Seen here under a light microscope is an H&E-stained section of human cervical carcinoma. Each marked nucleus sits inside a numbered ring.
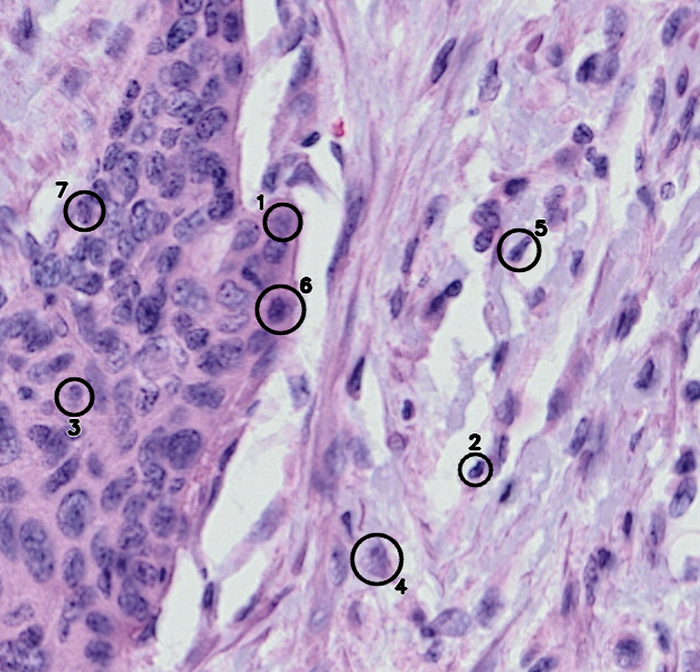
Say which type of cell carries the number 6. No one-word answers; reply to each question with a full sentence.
The cell numbered 6 has been identified as a squamous carcinoma cell.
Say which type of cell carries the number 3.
What the number 3 marks in this field is a squamous carcinoma cell.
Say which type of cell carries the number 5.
The cell that is numbered 5 is a lymphocyte.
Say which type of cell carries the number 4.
The cell indicated with the number 4 is classed as a fibroblast.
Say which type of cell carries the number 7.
Identified as a squamous carcinoma cell is the cell bearing the number 7.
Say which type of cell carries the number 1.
That cell with number 1 is a squamous carcinoma cell.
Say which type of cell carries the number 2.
Heads up, the cell numbered 2 is a lymphocyte.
